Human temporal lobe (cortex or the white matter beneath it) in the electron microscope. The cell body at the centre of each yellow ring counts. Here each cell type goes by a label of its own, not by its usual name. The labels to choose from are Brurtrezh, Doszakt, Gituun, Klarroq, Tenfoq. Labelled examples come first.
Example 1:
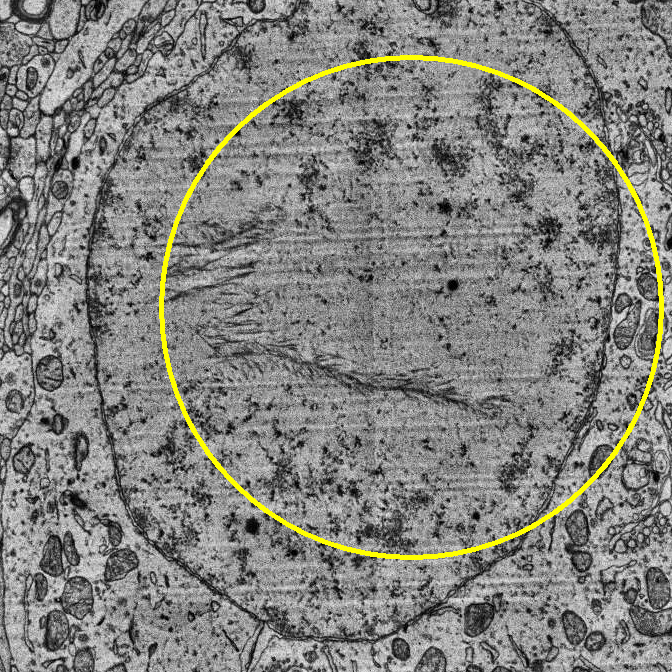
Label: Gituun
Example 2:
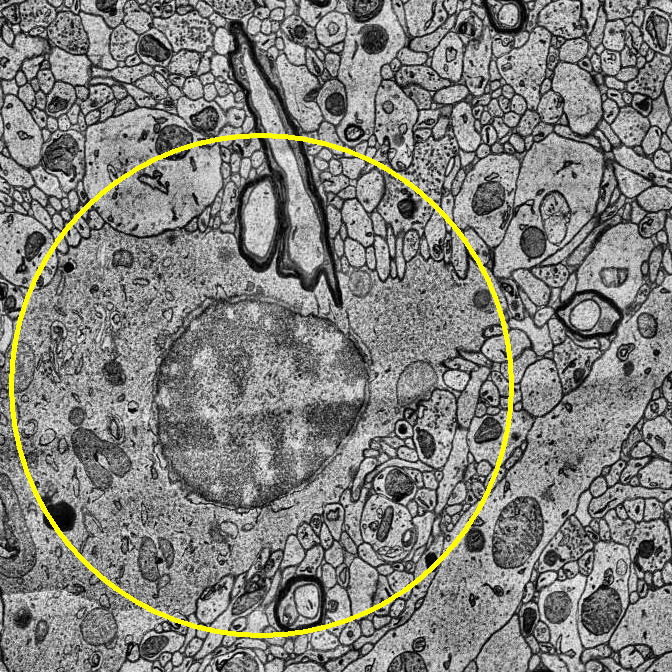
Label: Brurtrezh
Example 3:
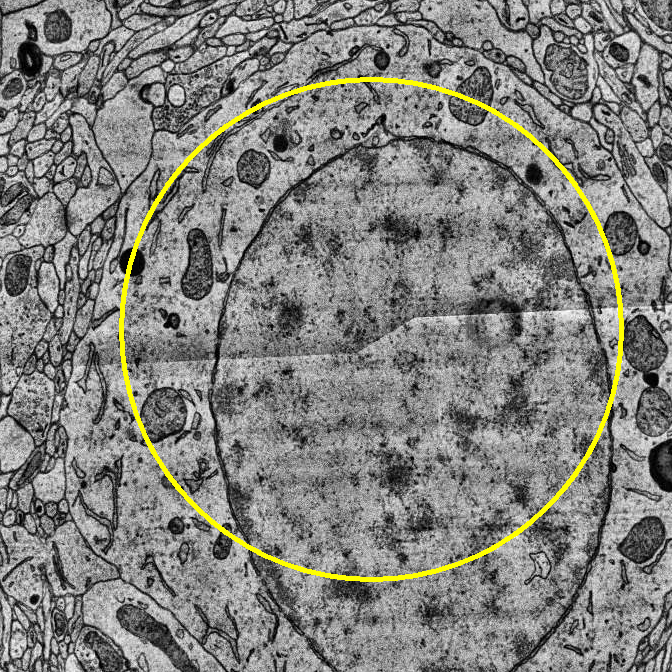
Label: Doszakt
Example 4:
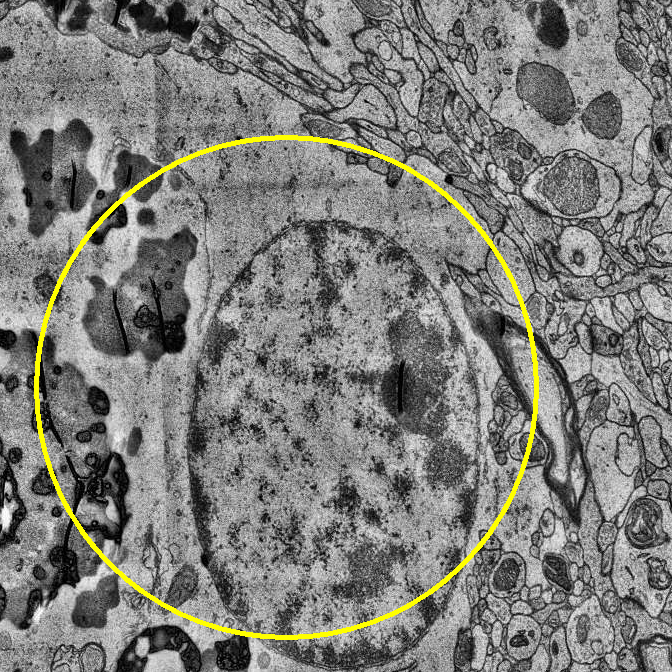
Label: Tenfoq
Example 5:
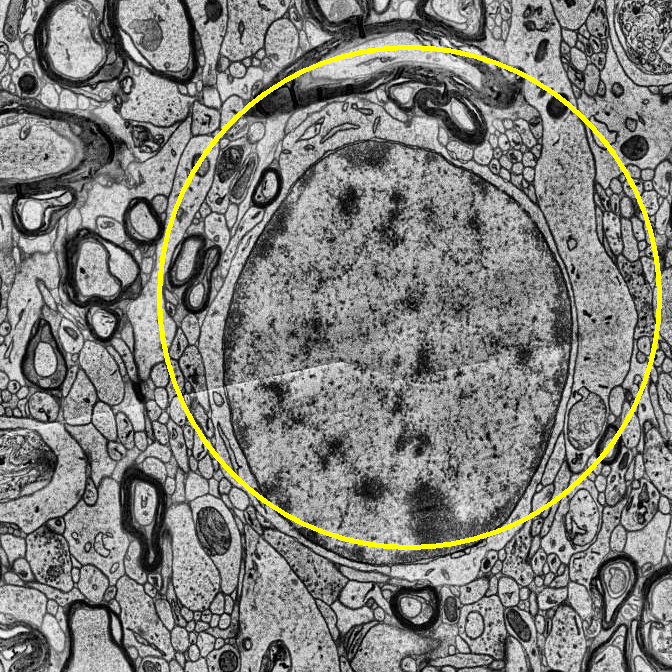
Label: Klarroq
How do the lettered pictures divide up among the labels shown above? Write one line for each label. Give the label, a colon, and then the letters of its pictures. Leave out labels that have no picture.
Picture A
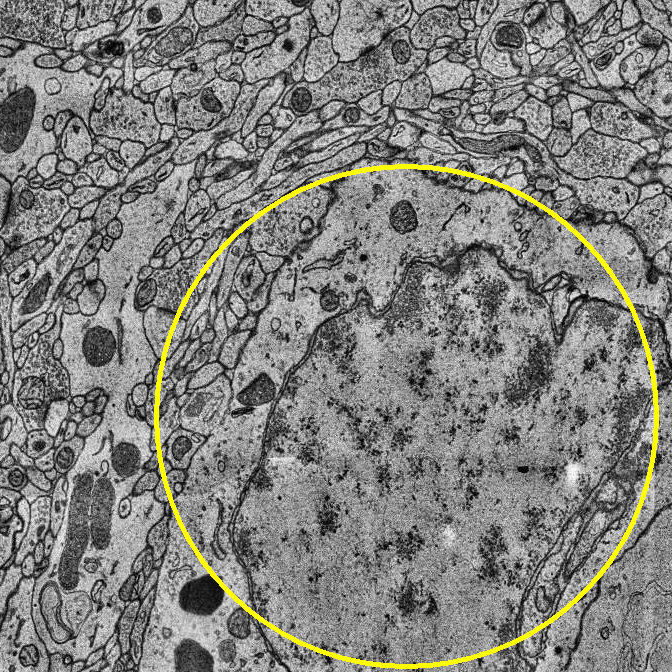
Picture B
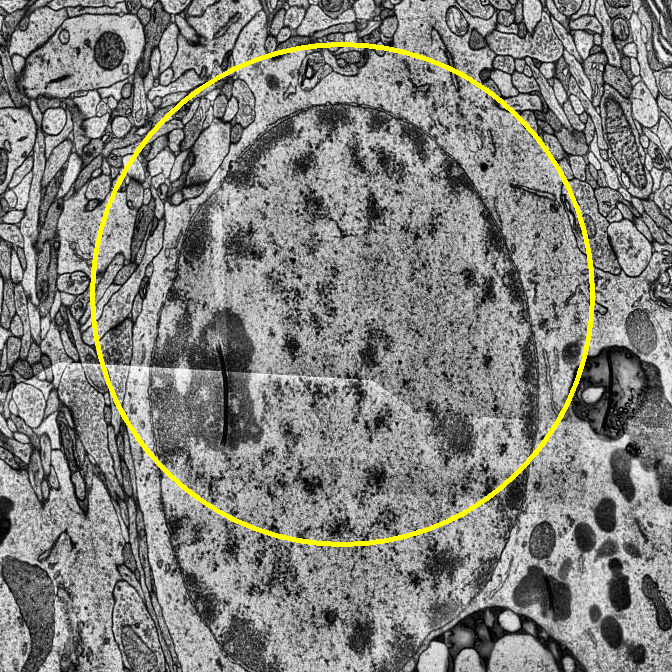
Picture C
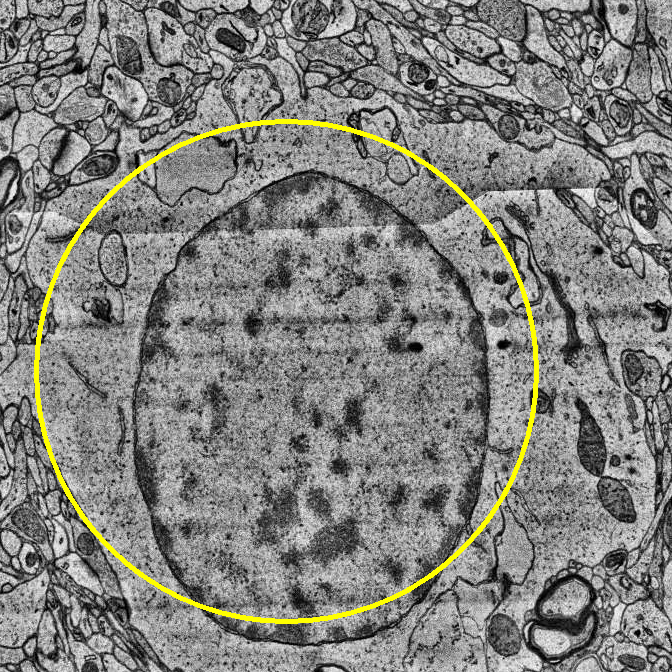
Gituun: A
Tenfoq: B, C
